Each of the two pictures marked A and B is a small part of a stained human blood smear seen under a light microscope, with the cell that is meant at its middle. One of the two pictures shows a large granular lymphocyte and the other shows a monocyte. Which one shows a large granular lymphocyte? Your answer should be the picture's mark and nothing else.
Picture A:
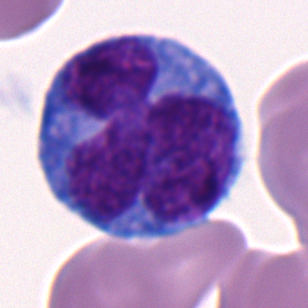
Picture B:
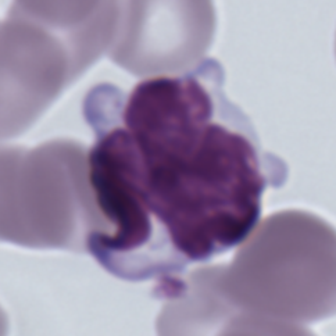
B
